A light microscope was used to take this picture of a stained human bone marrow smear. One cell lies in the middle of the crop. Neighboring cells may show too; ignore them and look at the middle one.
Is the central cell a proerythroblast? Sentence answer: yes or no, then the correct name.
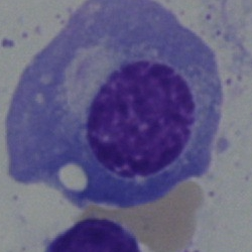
No, the middle cell is classified as a plasma cell and not as a proerythroblast.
